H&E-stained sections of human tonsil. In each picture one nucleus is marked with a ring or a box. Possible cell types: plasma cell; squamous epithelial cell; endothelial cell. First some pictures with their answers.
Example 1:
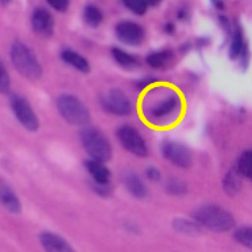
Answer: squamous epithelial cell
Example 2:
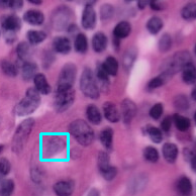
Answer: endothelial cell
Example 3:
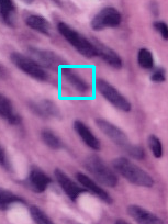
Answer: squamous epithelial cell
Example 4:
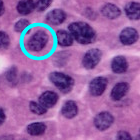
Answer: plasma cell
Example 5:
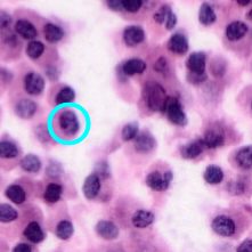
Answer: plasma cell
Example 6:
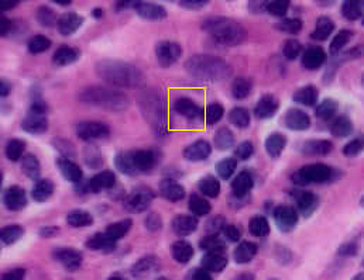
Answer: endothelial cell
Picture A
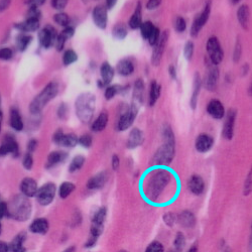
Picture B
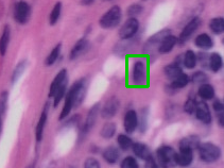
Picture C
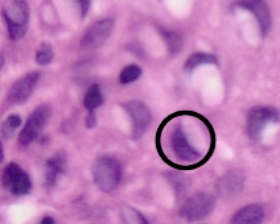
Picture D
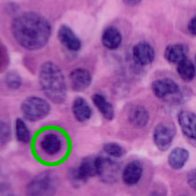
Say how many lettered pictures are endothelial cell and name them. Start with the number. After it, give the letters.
2, namely A, B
